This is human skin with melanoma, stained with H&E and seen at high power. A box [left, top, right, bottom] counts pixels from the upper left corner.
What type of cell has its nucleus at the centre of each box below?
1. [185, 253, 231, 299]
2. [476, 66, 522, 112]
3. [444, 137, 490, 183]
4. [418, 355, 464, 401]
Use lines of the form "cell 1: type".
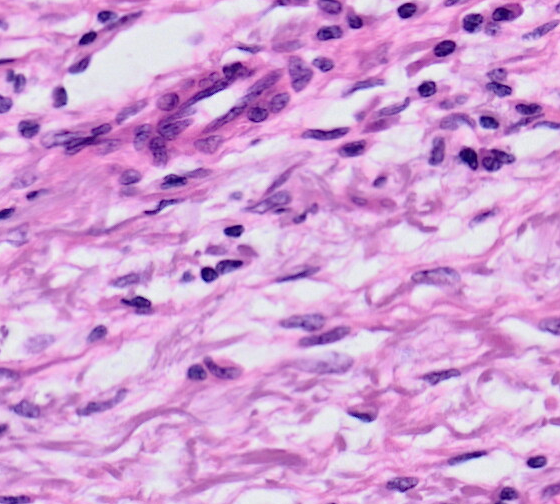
cell 1: lymphocyte
cell 2: lymphocyte
cell 3: plasma cell
cell 4: fibroblast or myofibroblast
